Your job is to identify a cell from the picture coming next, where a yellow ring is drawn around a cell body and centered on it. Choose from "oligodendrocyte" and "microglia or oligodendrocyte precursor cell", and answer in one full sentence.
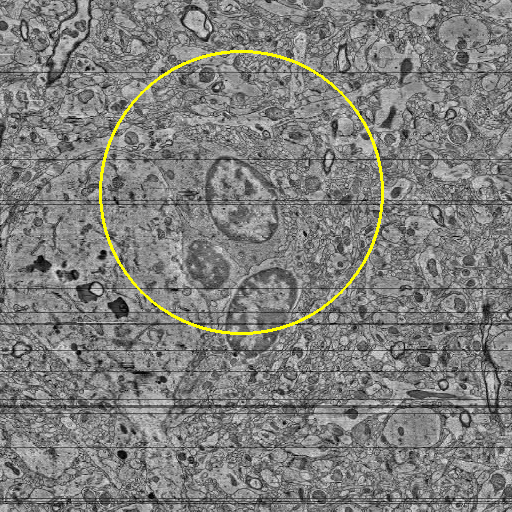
Centered in the yellow ring of the picture is the body of an oligodendrocyte.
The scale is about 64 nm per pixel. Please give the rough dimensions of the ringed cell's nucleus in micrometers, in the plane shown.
About 6 by 4 micrometres in this plane.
